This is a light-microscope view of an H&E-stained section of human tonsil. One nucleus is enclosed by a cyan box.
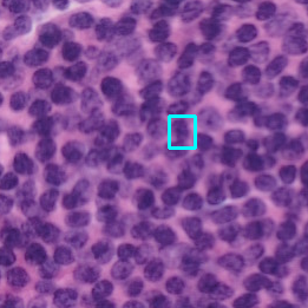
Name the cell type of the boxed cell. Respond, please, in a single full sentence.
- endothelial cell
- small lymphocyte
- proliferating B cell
As far as its identity is concerned, the boxed cell is a small lymphocyte.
